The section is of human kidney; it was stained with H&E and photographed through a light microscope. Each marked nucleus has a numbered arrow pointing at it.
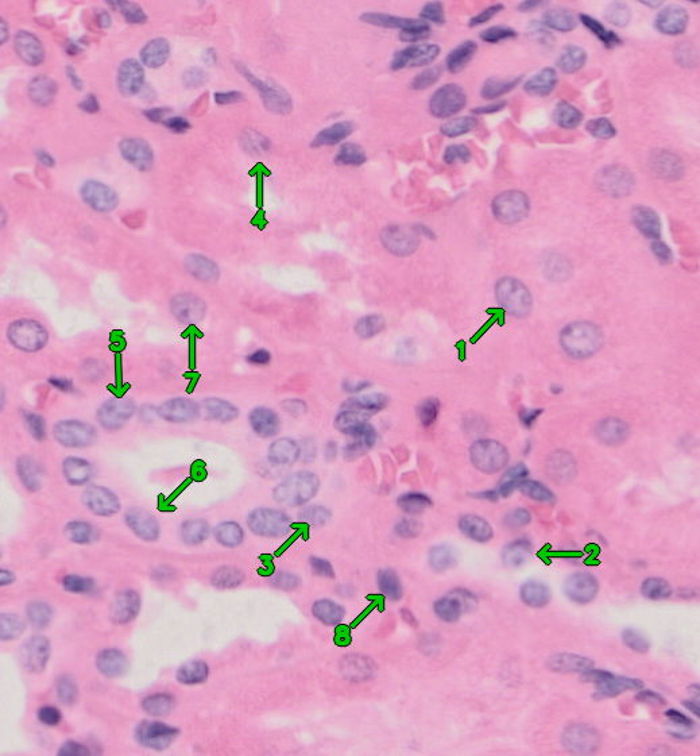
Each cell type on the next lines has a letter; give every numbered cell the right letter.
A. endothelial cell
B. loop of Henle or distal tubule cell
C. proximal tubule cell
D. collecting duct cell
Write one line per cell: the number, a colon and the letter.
1: C
2: B
3: D
4: C
5: D
6: D
7: C
8: A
